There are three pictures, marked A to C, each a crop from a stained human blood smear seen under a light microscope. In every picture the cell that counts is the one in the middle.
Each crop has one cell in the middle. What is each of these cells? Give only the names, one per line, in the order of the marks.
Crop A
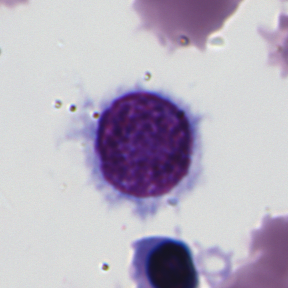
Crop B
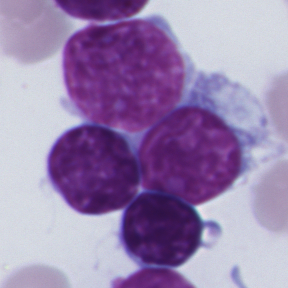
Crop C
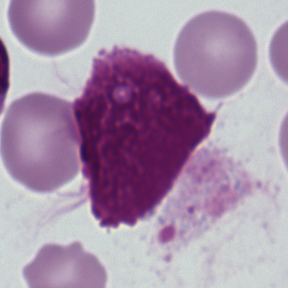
hairy cell
myeloblast
smudge cell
